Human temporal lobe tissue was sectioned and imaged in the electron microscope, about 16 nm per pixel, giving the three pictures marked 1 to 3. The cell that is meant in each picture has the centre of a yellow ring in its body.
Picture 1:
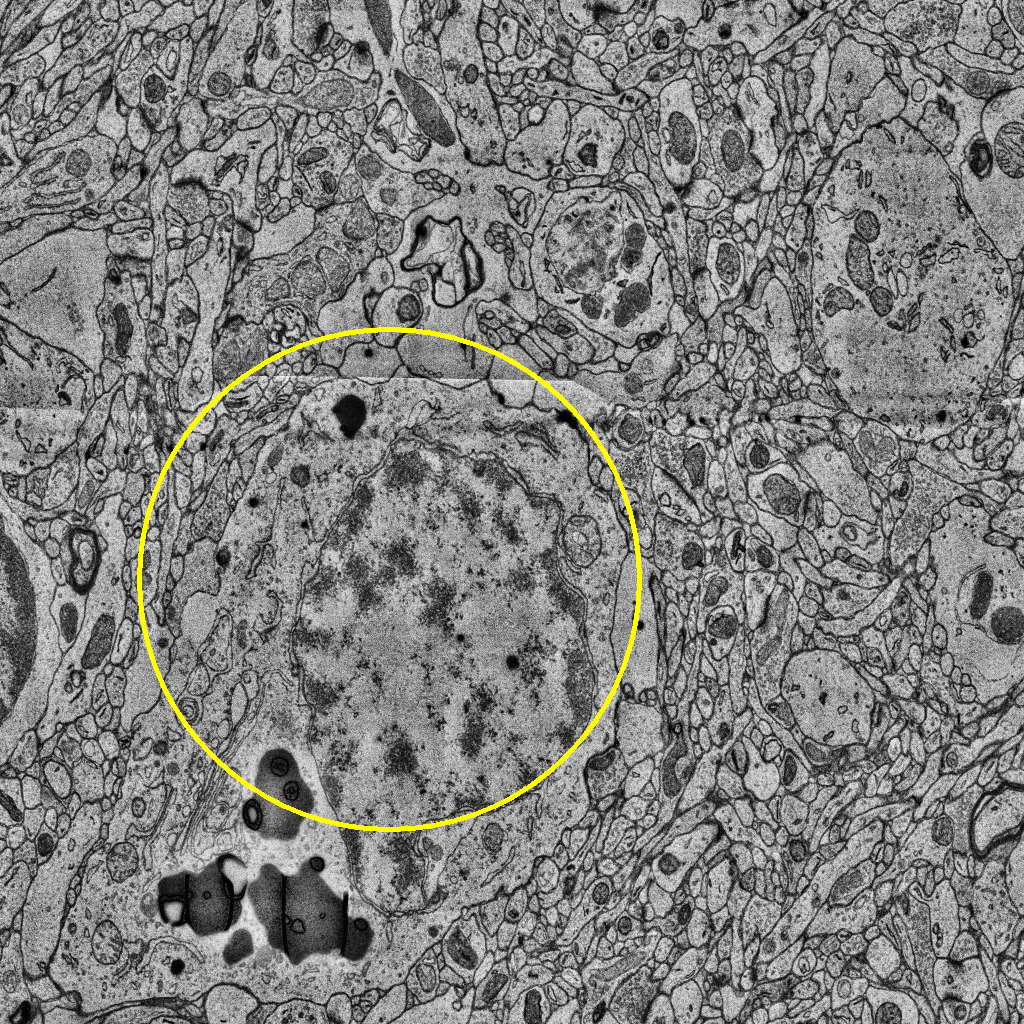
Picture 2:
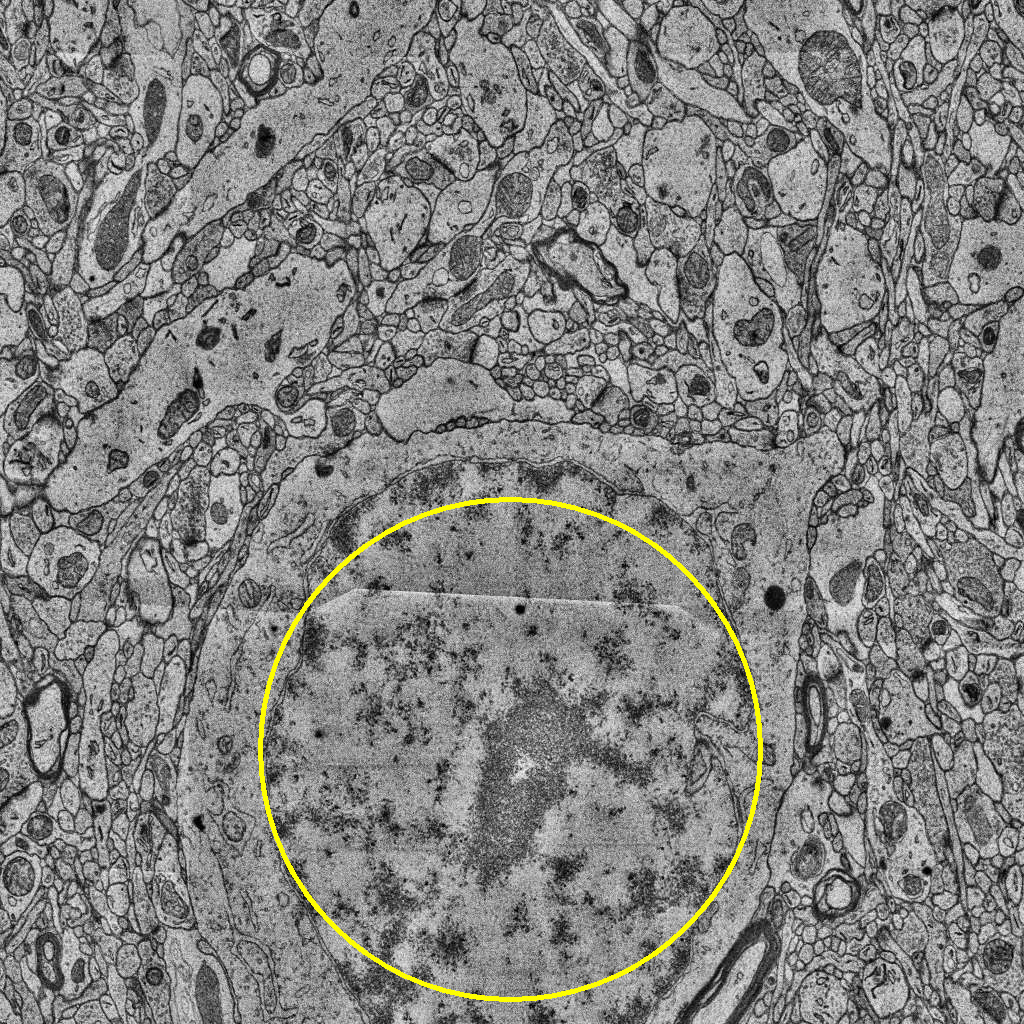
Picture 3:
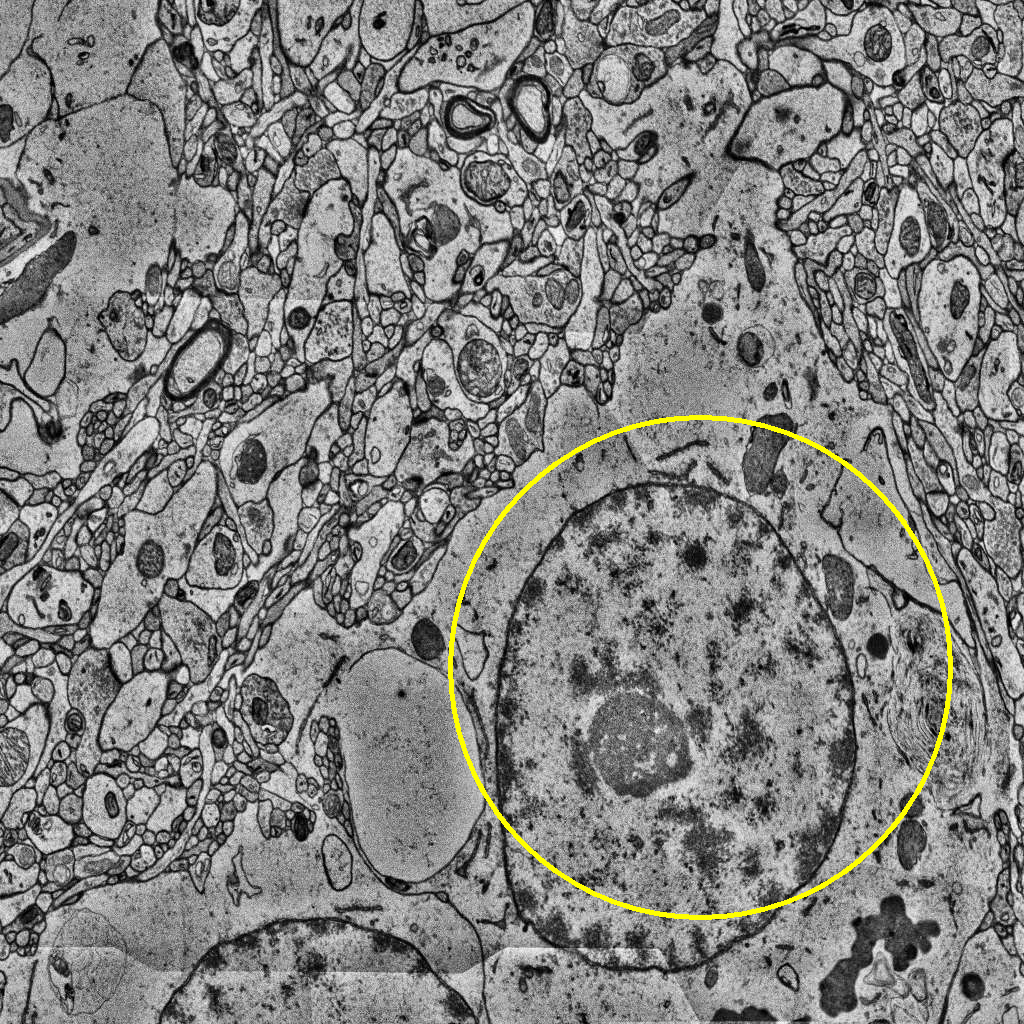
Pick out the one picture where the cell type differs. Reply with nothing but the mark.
3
